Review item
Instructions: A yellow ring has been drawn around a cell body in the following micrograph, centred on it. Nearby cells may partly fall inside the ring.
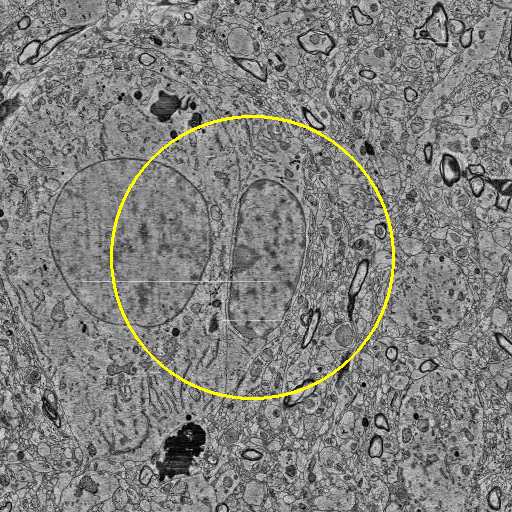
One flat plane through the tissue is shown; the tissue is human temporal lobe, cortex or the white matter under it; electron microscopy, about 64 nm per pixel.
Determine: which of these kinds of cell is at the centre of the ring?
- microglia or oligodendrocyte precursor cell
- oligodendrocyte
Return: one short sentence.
The cell body in the middle of the ring is that of a microglial cell or oligodendrocyte precursor cell.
